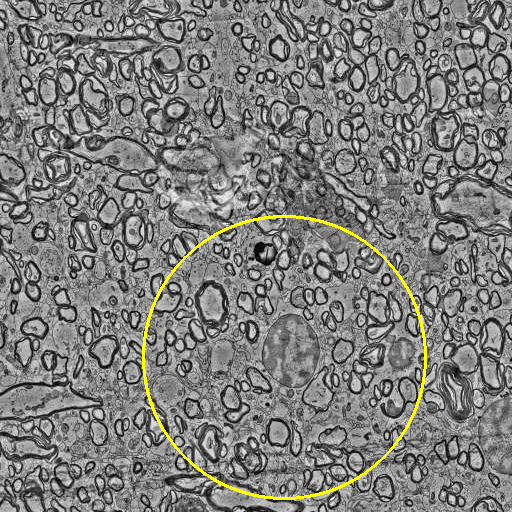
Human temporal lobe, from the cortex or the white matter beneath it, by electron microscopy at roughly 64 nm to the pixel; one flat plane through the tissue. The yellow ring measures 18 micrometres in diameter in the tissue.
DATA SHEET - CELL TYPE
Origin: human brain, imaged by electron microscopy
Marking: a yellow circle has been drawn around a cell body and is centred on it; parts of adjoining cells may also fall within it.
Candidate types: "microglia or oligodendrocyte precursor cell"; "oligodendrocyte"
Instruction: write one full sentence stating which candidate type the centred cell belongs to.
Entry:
The cell body at the centre of the yellow ring in this micrograph belongs to a microglial cell or oligodendrocyte precursor cell.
